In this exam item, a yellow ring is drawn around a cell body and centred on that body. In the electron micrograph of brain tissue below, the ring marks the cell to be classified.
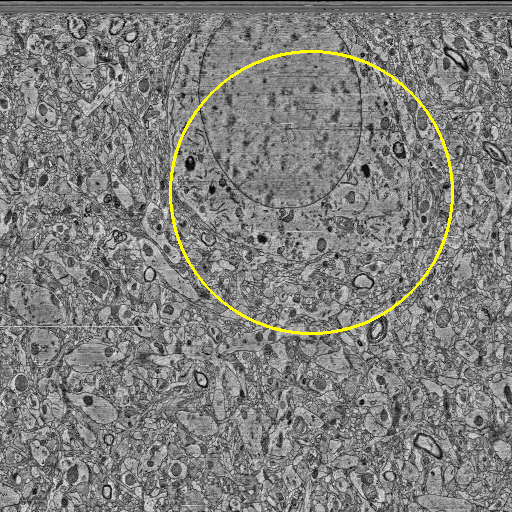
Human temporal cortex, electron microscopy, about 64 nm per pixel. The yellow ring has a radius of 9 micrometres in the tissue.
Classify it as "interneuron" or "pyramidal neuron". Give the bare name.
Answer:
pyramidal neuron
